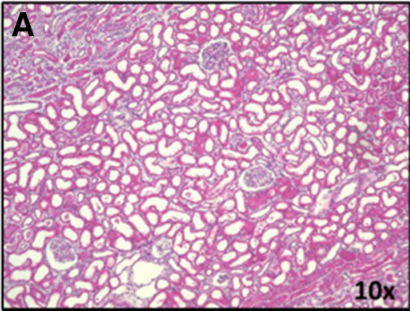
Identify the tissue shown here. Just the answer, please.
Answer: Renal cortex.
